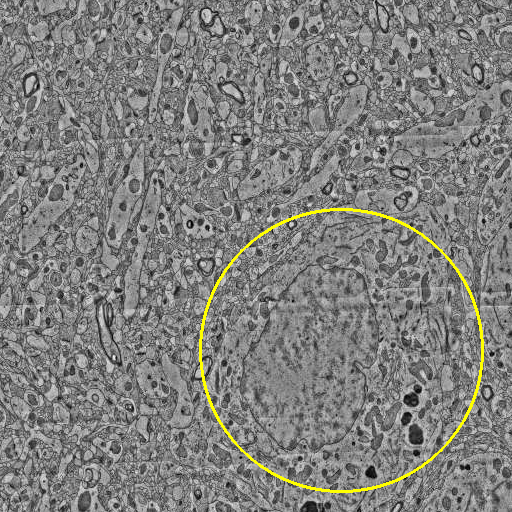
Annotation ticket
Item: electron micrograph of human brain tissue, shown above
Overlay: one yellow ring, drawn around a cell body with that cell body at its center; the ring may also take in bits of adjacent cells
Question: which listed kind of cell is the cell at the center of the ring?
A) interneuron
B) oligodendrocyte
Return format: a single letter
A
